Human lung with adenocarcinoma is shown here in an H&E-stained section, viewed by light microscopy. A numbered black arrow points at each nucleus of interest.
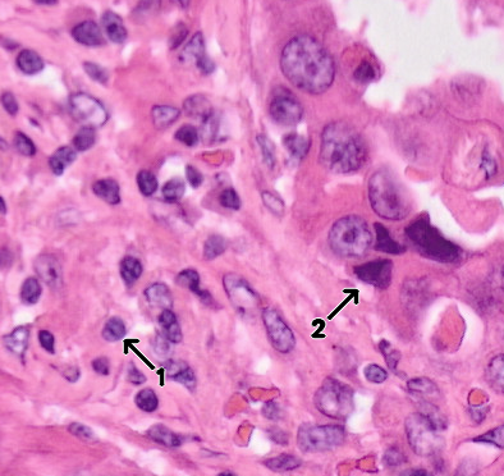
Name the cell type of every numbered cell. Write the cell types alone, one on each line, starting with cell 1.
lymphocyte
carcinoma cell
